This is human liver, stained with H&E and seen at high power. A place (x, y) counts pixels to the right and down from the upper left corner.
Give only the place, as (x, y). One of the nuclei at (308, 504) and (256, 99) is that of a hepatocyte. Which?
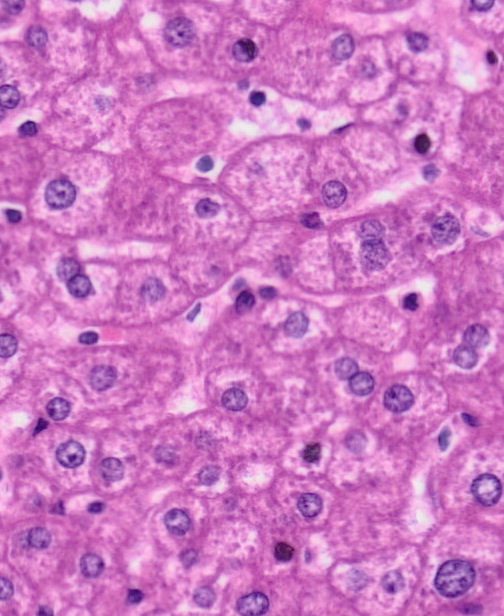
(308, 504)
